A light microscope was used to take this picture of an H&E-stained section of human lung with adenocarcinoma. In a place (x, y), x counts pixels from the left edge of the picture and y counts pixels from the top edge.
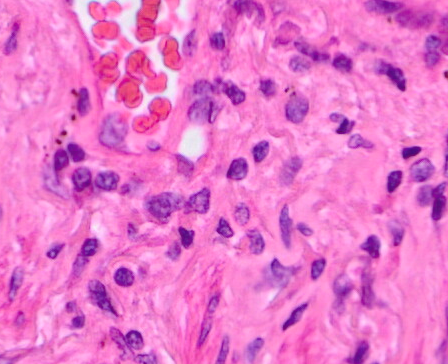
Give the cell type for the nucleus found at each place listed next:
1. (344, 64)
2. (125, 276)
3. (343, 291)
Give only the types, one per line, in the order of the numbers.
plasma cell
lymphocyte
fibroblast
